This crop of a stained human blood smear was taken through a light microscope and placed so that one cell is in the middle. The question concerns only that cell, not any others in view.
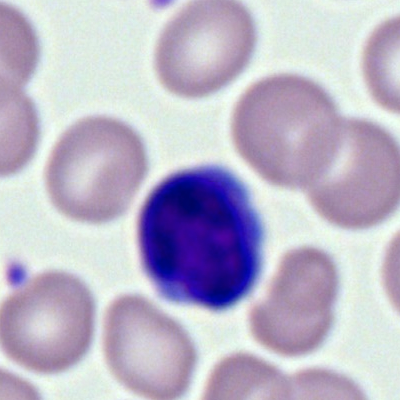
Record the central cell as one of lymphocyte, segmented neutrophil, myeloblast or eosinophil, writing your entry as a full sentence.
The cell at the heart of this crop is a lymphocyte.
